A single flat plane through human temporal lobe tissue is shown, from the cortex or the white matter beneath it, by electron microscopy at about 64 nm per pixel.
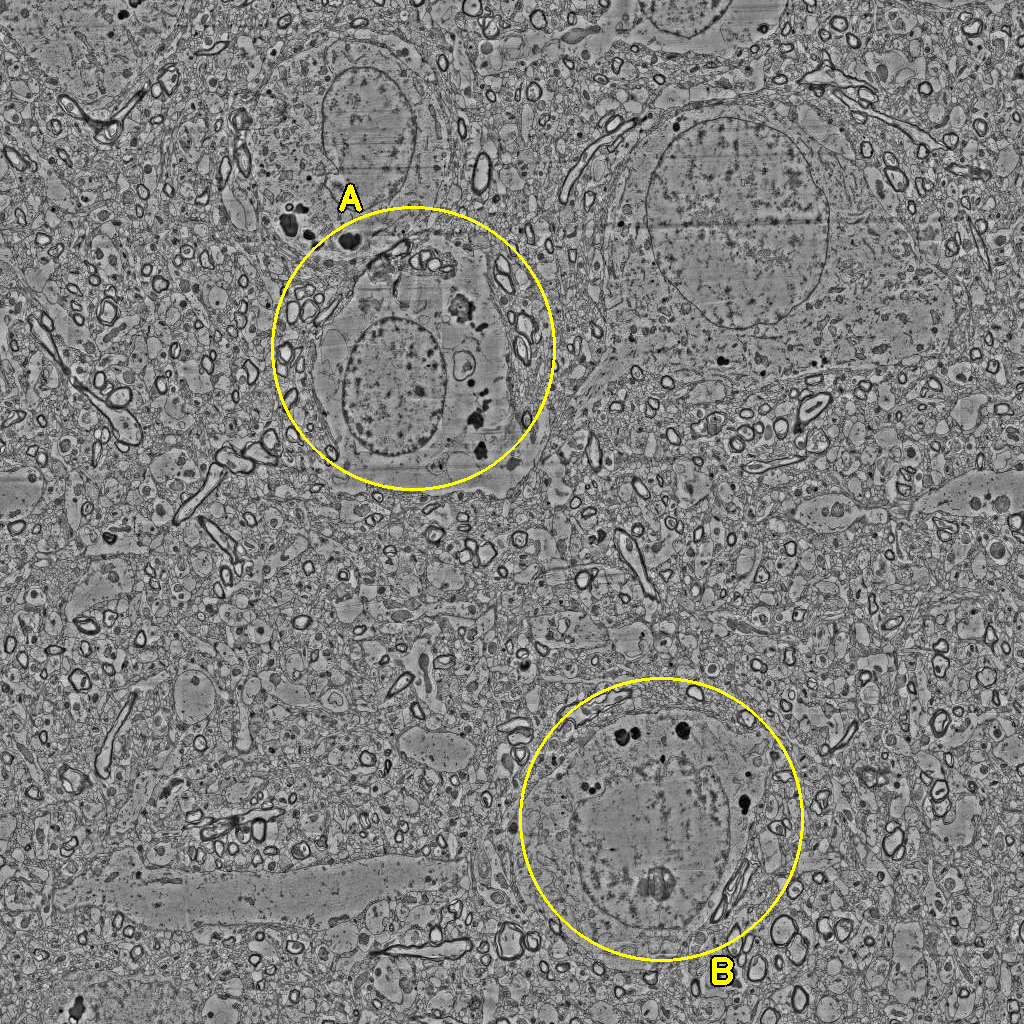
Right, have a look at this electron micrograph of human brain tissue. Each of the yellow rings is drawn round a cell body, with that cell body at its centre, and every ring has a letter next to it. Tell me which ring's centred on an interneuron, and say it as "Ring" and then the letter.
Ring B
